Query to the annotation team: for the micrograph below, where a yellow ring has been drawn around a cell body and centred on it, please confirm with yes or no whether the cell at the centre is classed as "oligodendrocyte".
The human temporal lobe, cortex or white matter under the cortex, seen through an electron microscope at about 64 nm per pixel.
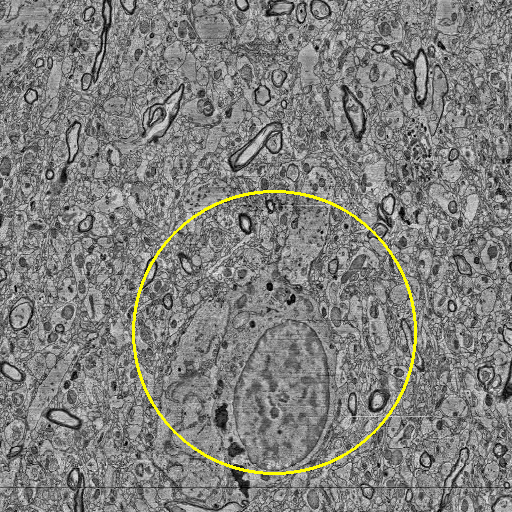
Yes, it is classed that way.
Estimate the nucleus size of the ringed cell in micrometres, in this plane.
About 10 by 6 micrometres; in this plane the nucleus is clearly longer than it is wide.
